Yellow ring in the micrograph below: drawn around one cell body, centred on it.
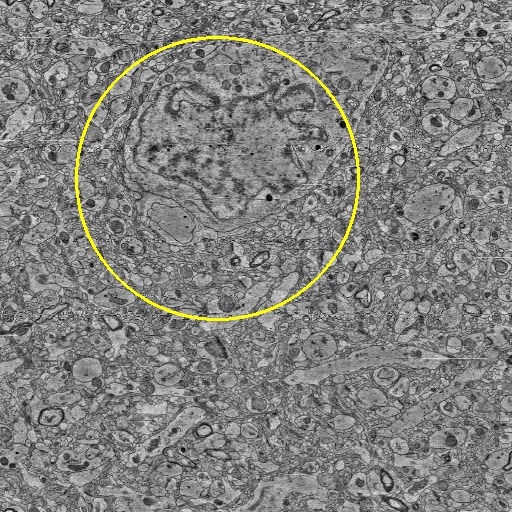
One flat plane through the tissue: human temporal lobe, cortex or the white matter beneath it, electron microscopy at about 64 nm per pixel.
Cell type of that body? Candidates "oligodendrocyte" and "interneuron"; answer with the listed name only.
interneuron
